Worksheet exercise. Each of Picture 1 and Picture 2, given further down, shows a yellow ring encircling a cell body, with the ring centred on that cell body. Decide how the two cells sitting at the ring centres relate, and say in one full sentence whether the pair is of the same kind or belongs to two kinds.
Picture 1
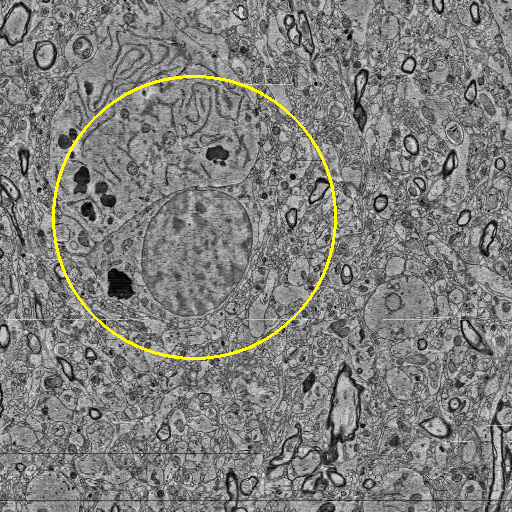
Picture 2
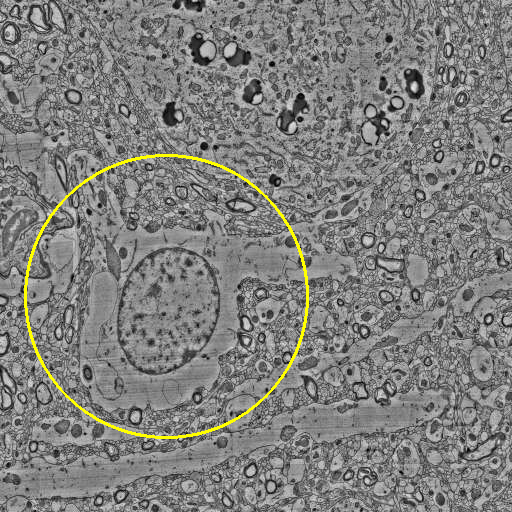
The cells at the ring centres in Picture 1 and Picture 2 belong to two kinds.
